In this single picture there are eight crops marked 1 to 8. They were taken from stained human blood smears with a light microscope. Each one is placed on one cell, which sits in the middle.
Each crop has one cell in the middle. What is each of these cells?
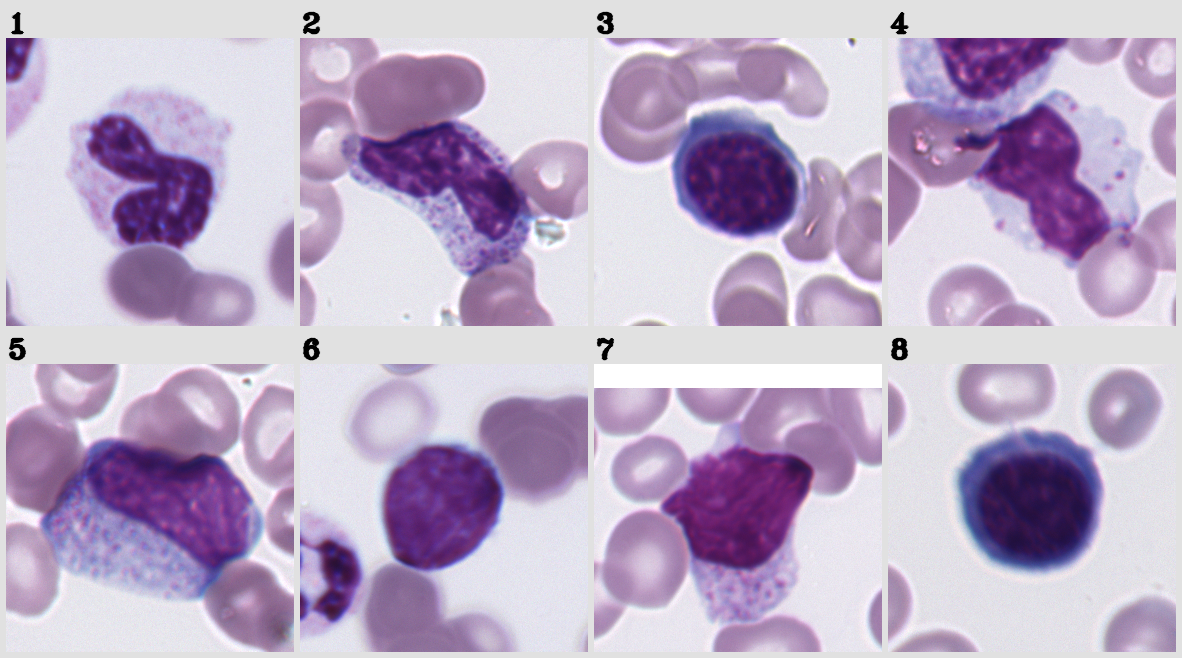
1: segmented neutrophil
2: metamyelocyte
3: normoblast
4: large granular lymphocyte
5: promyelocyte
6: typical lymphocyte
7: large granular lymphocyte
8: normoblast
